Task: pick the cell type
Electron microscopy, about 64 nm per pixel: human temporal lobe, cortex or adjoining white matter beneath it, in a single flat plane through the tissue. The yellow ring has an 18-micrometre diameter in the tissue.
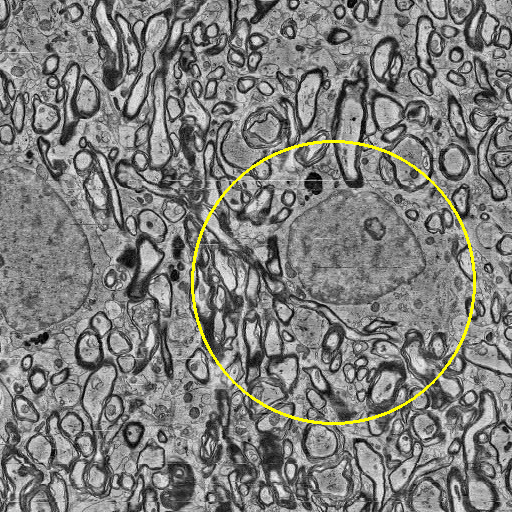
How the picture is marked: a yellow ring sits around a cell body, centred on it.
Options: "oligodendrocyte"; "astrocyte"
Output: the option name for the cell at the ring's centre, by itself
oligodendrocyte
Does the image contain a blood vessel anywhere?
No, there is no blood vessel in the image.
